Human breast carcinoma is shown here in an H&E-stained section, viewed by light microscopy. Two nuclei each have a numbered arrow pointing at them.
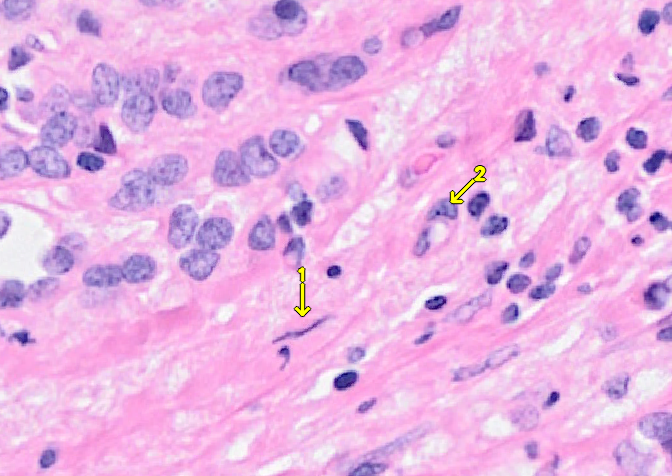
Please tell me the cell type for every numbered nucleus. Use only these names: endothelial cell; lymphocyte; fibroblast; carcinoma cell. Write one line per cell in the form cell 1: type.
cell 1: fibroblast
cell 2: endothelial cell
